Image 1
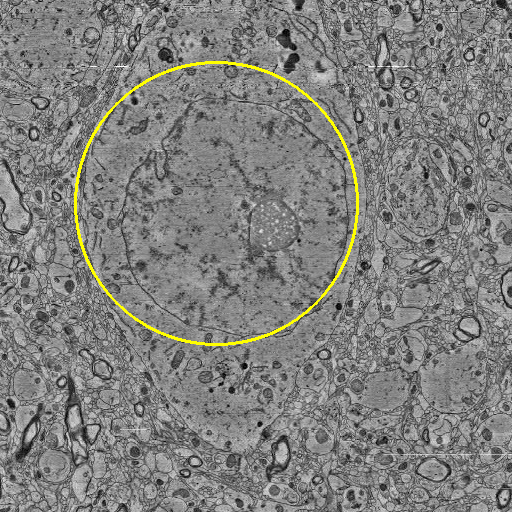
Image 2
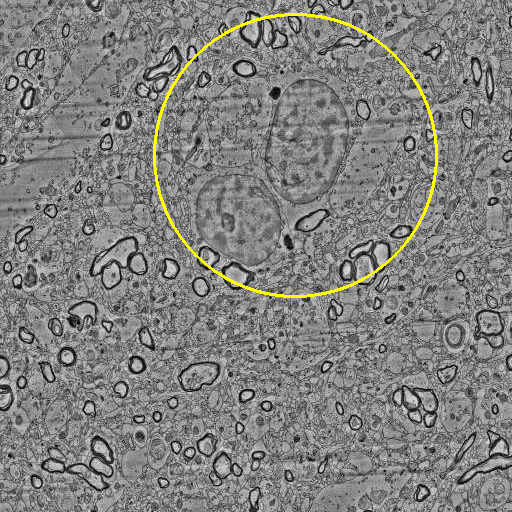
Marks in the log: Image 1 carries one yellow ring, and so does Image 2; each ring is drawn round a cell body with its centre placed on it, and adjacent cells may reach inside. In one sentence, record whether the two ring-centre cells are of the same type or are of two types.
The two cells at the ring centres, one in each image, are of two types.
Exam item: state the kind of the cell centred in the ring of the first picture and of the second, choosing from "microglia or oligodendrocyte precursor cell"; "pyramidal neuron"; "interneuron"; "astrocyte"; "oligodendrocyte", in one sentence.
The first picture shows a pyramidal neuron at the ring centre and the second shows an oligodendrocyte.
